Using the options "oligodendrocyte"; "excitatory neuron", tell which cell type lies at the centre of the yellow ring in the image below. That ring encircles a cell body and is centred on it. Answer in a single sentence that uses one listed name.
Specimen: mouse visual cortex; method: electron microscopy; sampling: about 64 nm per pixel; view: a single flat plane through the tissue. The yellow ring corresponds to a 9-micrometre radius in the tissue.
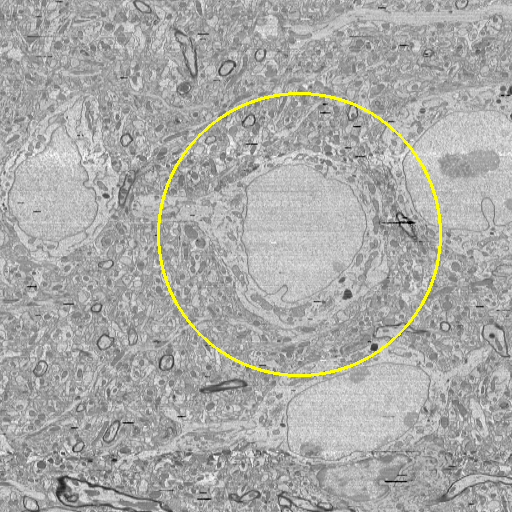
At the centre of the yellow ring lies the body of an excitatory neuron.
